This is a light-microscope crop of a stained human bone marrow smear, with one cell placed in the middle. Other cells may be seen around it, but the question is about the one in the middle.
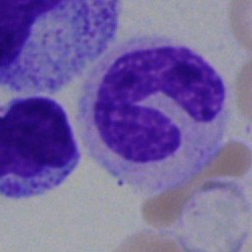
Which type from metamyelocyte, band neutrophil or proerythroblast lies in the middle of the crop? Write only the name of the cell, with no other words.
band neutrophil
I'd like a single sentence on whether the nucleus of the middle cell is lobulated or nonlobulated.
If you check the nucleus, you will find one compact mass, round, oval or kidney-shaped.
